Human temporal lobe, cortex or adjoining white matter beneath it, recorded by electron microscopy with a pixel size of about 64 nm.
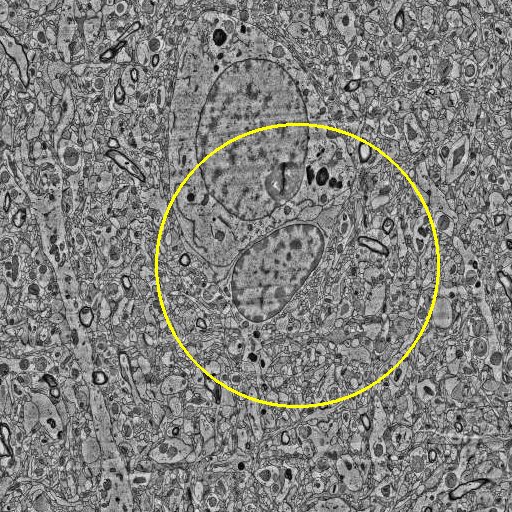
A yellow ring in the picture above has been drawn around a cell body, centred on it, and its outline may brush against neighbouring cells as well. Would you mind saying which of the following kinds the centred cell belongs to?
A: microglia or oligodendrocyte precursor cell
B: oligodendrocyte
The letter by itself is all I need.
A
